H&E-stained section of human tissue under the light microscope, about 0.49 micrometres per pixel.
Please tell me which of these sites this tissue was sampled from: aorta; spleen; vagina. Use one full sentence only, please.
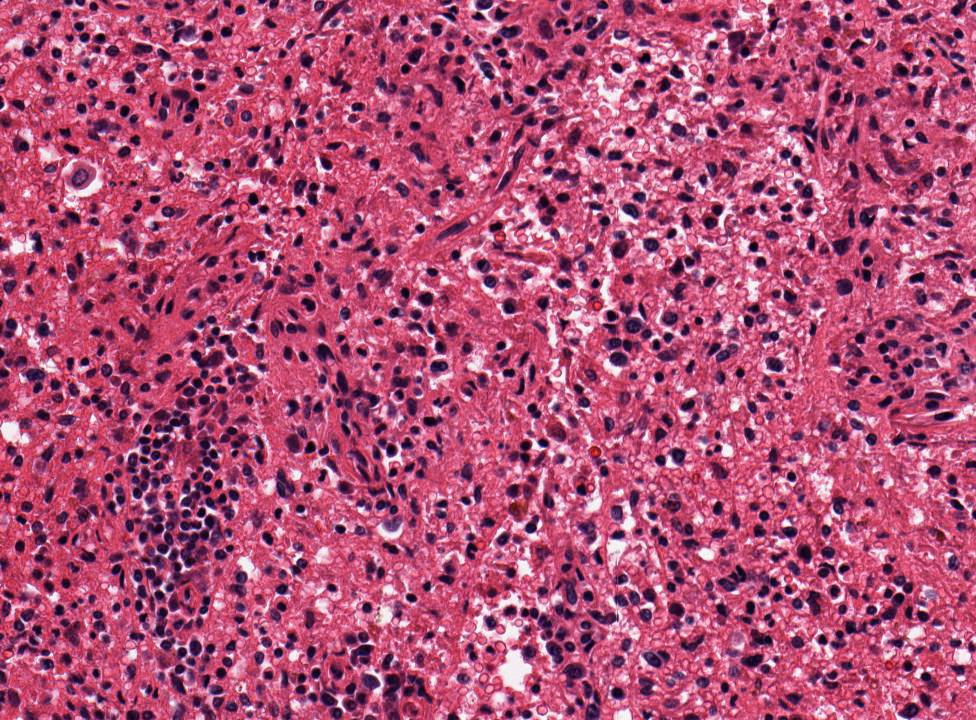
This slide holds tissue sampled from the spleen.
